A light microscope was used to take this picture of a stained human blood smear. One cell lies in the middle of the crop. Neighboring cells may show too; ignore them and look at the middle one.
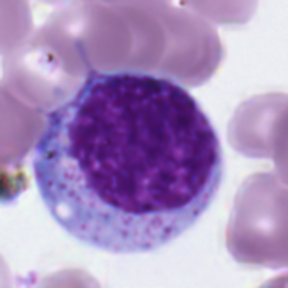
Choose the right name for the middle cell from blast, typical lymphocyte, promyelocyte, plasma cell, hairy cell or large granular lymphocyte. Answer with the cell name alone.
promyelocyte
